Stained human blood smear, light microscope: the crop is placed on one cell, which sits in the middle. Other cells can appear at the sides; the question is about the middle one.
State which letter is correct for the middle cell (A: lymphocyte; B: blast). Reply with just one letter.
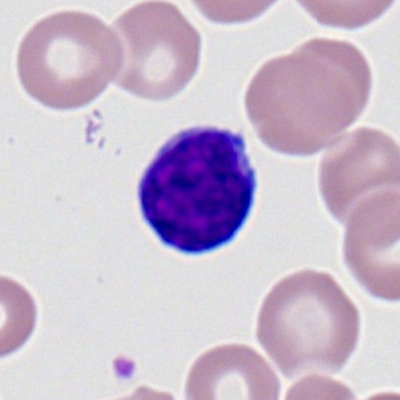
A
